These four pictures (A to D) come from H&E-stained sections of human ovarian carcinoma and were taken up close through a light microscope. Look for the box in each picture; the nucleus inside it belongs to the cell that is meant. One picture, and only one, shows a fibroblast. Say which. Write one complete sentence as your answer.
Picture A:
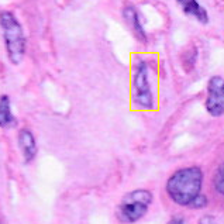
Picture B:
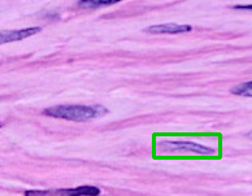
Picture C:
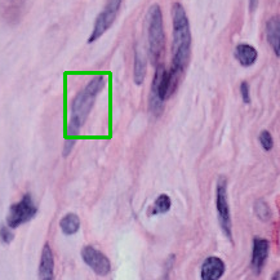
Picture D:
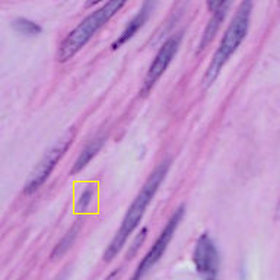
The fibroblast is the one in picture A.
